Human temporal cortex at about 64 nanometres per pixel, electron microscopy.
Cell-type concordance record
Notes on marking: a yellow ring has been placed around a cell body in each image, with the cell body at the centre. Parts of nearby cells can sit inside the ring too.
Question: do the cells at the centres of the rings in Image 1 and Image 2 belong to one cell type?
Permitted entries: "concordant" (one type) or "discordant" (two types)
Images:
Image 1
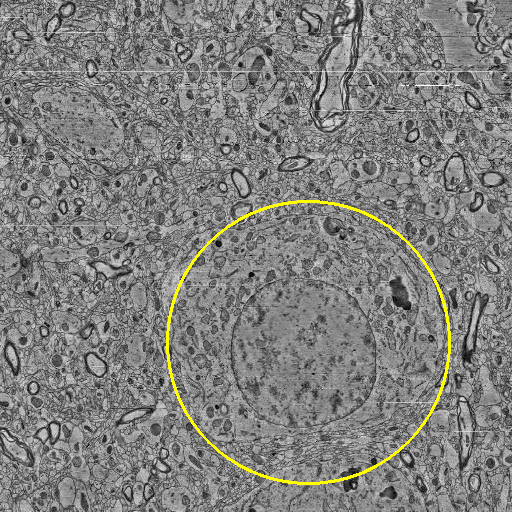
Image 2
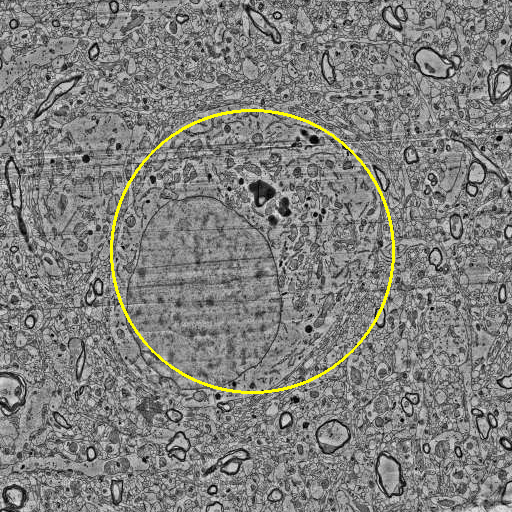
concordant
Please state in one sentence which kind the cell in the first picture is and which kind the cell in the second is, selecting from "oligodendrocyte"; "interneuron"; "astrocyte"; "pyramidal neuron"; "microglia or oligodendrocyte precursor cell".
Each of the two cells is an interneuron.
